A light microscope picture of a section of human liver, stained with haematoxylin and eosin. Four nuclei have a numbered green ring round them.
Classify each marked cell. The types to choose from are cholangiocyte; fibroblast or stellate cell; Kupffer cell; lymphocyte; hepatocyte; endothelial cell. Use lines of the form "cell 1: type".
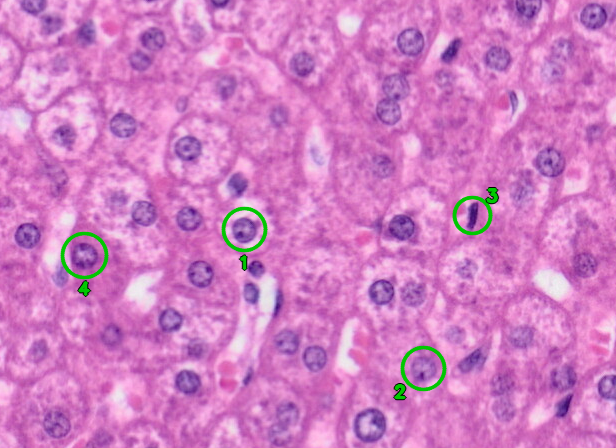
cell 1: hepatocyte
cell 2: hepatocyte
cell 3: endothelial cell
cell 4: hepatocyte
